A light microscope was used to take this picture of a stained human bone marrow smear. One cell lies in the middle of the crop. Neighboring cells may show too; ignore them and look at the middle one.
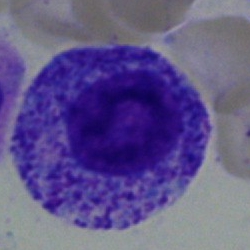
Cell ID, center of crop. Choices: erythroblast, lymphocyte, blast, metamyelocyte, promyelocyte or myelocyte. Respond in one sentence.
Of the cells in this crop, the central one is a myelocyte.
